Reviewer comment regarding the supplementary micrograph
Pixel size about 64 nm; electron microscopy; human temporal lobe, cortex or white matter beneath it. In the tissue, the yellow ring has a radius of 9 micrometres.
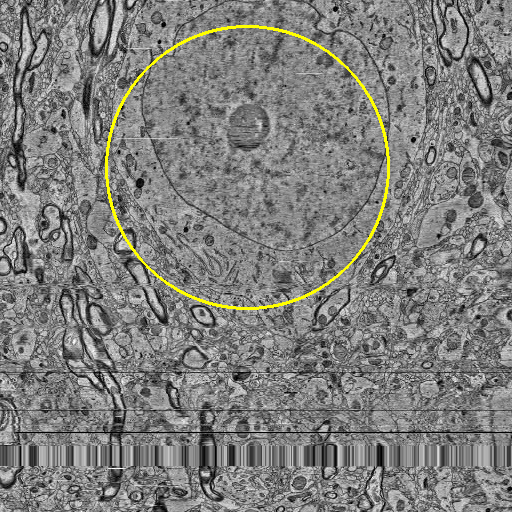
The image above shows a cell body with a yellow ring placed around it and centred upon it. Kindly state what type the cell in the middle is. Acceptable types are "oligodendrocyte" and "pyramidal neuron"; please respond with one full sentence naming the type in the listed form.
In the image above, the cell on which the yellow ring is centred is a pyramidal neuron.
